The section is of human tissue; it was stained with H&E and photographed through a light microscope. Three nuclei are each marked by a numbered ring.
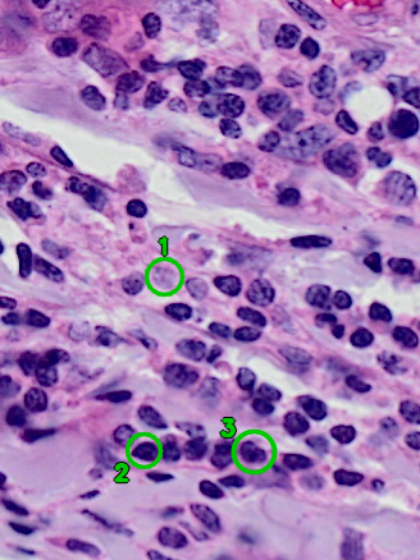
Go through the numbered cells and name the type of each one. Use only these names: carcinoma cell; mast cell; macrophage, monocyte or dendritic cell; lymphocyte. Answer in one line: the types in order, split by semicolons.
macrophage, monocyte or dendritic cell; lymphocyte; lymphocyte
